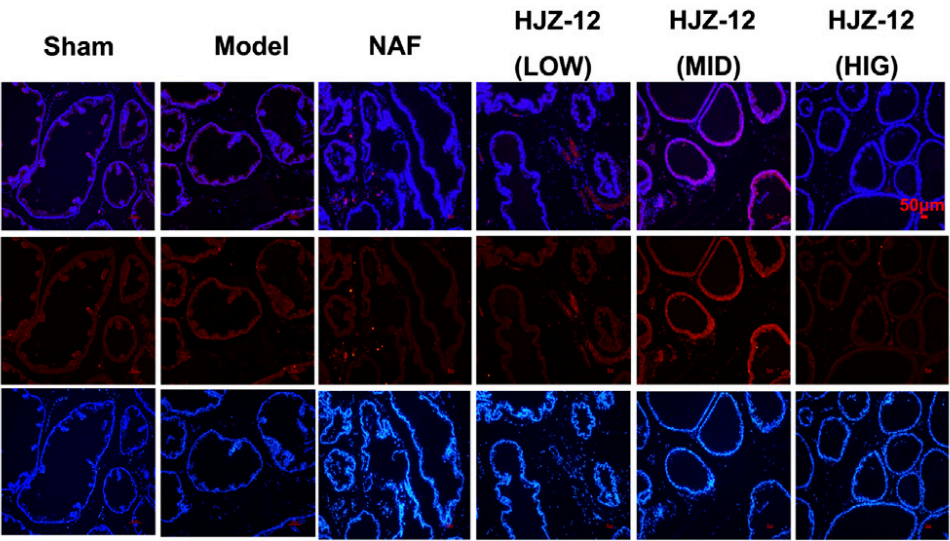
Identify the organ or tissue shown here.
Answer: Prostate.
